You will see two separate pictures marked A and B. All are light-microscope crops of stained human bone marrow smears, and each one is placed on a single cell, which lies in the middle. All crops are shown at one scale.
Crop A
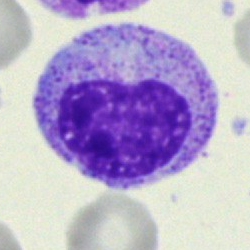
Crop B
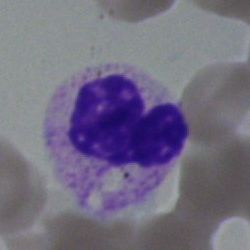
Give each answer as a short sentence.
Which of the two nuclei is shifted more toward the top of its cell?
It is the nucleus in crop B that lies further toward the top of its cell.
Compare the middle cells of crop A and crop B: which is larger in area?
Larger is the cell in crop A, at roughly 1.5 times the area of the other.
